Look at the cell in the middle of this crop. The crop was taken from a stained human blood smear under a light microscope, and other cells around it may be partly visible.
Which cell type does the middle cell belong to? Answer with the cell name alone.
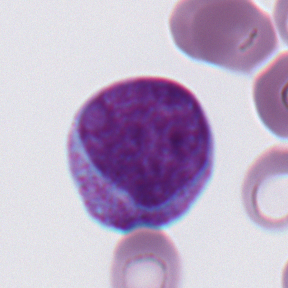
atypical promyelocyte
